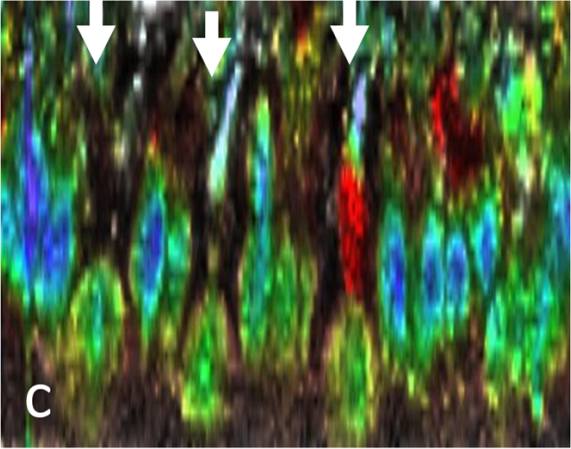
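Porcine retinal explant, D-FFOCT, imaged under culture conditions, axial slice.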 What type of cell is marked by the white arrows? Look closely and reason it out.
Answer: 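The arrows point to vertically elongated columns. The marked columns widen into rounded green bulges toward the lower part of the image. On this evidence: cones.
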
